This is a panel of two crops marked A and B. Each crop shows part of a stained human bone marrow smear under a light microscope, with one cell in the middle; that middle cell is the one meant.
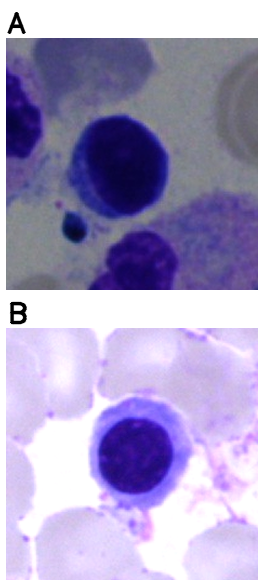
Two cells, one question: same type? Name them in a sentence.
No, record crop A as a lymphocyte and crop B as an erythroblast.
